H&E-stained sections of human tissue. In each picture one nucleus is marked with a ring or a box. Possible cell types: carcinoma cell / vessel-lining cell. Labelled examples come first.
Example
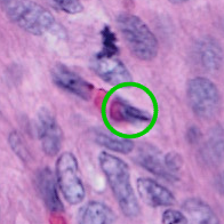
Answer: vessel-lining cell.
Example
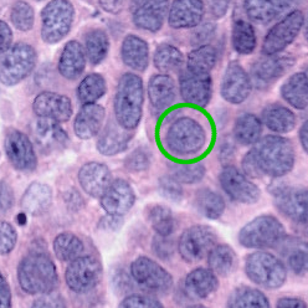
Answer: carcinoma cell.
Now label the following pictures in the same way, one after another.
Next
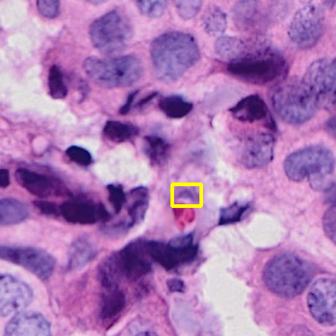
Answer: vessel-lining cell.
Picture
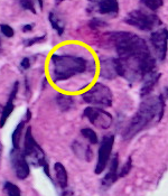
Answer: carcinoma cell.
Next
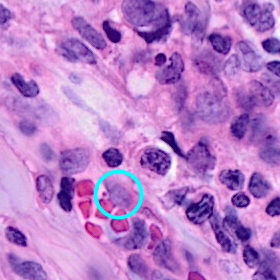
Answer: vessel-lining cell.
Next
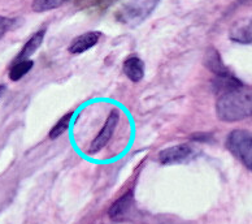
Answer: vessel-lining cell.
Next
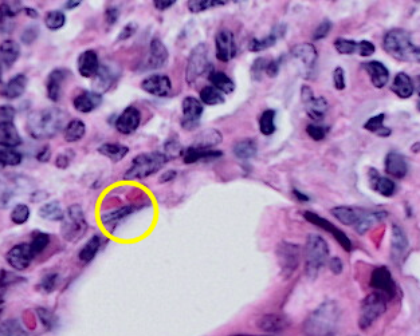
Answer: vessel-lining cell.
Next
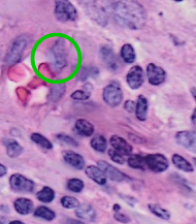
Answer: vessel-lining cell.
